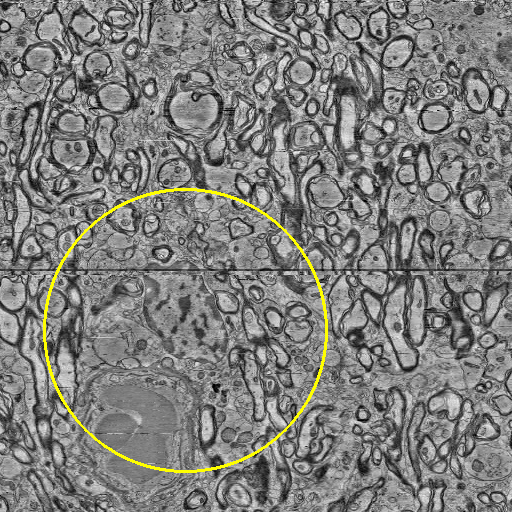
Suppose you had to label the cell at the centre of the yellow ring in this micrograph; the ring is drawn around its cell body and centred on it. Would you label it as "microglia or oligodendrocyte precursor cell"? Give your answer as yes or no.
Yes, I would label it that way.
